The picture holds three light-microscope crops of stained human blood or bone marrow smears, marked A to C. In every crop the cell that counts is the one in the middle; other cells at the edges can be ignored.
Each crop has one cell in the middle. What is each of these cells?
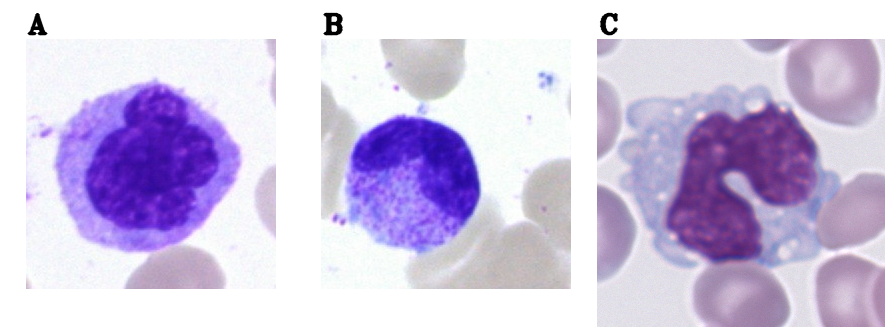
A: monocyte
B: band neutrophil
C: monocyte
